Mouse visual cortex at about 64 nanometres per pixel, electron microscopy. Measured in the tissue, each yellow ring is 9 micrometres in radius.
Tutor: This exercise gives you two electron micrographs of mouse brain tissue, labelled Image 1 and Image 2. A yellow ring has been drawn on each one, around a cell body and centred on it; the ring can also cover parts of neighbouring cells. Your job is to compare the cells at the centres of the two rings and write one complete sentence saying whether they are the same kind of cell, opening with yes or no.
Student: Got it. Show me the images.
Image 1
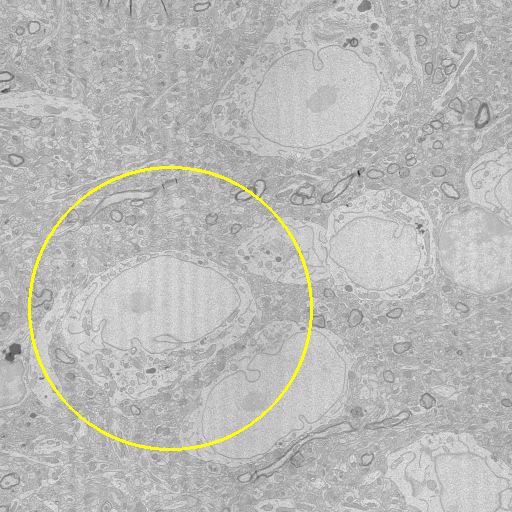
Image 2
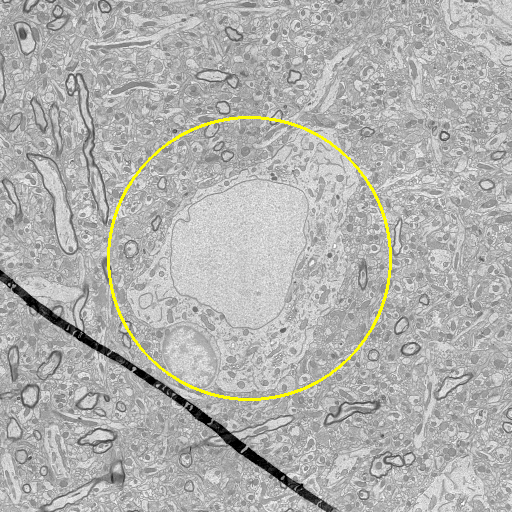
No, the two cells belong to two kinds.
